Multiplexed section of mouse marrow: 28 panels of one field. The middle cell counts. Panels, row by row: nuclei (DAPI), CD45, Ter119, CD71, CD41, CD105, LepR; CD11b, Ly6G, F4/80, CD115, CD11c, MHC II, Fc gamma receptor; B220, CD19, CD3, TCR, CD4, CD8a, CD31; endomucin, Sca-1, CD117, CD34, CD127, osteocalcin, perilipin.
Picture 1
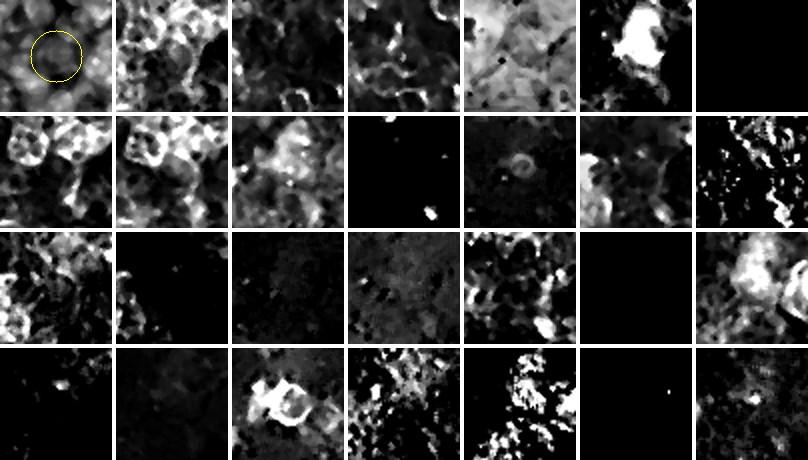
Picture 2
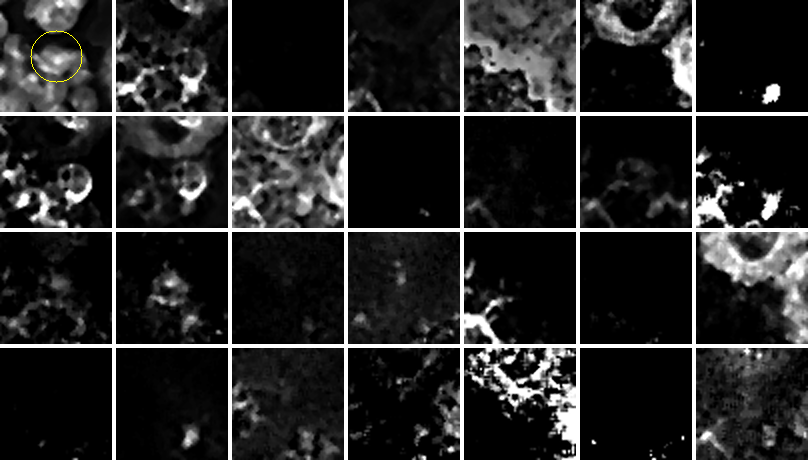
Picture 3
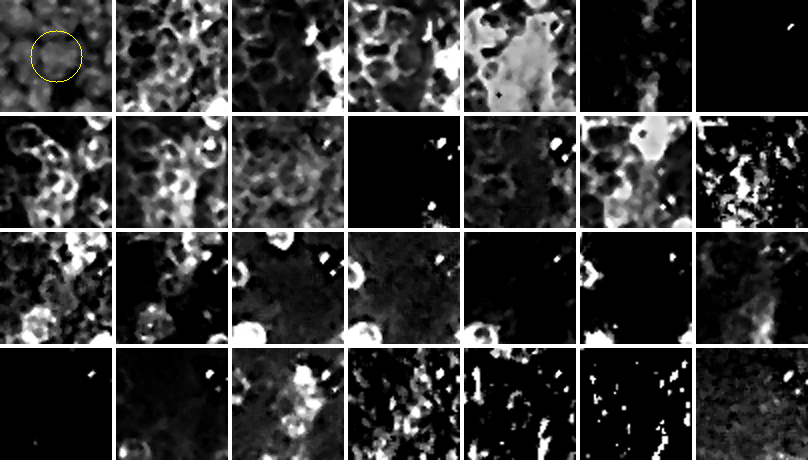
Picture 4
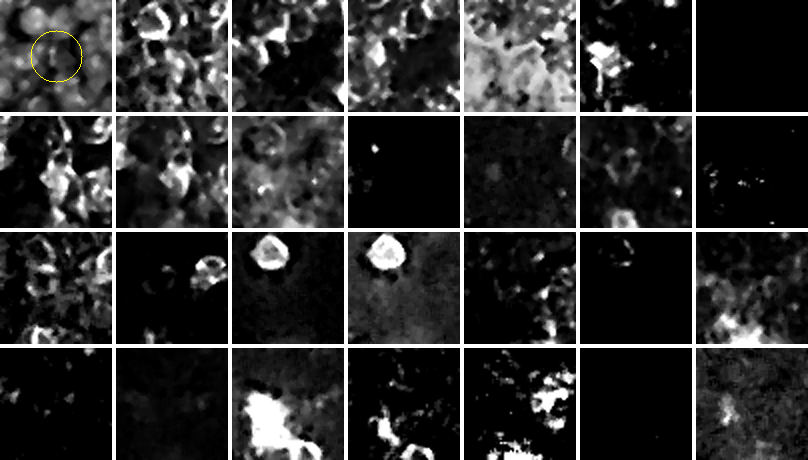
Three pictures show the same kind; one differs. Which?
Picture 2: a common lymphoid progenitor, while the others are megakaryocyte progenitors.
